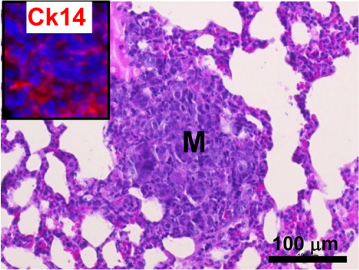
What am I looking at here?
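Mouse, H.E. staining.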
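This is lung tissue with a compact nodule of tumor cells lodged among the air spaces. Most of the field is made of thin pink septa lined by small dark nuclei, outlining open, empty alveolar spaces. In the center lies a solid, purple-staining cluster of tightly packed cells with larger nuclei, which pushes aside and fills the normal lacy architecture. The contrast between the delicate septa and the crowded, solid nodule is what marks this as a deposit of tumor in the lung. The small inset in the corner shows red fluorescent cells against blue nuclei.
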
